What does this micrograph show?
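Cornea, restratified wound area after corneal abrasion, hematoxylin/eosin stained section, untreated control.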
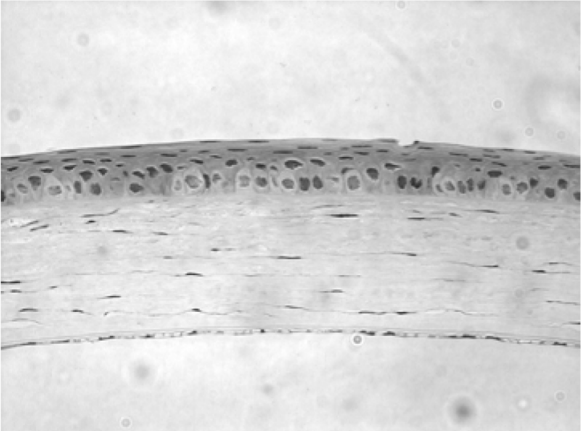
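The epithelium forms several cell layers of closely packed cells with dark round to oval nuclei, with the cells flattening toward the outer surface. The stroma below consists of regular parallel lamellae with sparse, thin, elongated nuclei lying along them. A single row of flattened cells lines the posterior surface.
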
